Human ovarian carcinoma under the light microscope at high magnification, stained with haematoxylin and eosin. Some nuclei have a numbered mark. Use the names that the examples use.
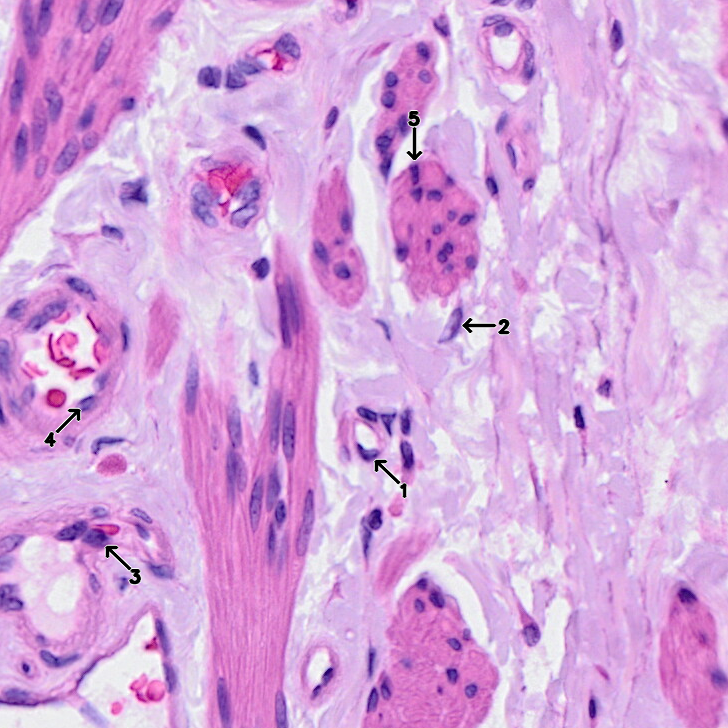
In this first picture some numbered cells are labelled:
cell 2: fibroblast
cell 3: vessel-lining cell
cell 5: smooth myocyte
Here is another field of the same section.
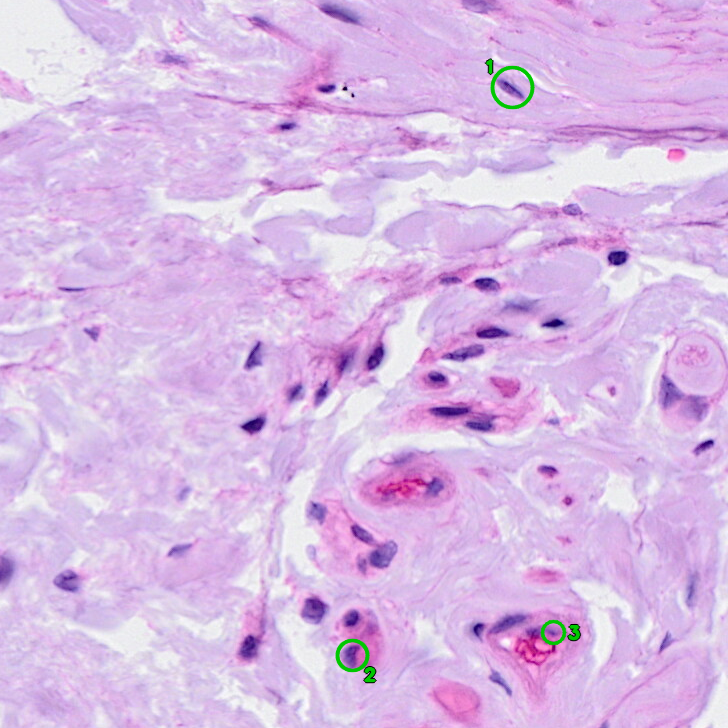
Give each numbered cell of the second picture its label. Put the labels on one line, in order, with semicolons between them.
fibroblast; smooth myocyte; vessel-lining cell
